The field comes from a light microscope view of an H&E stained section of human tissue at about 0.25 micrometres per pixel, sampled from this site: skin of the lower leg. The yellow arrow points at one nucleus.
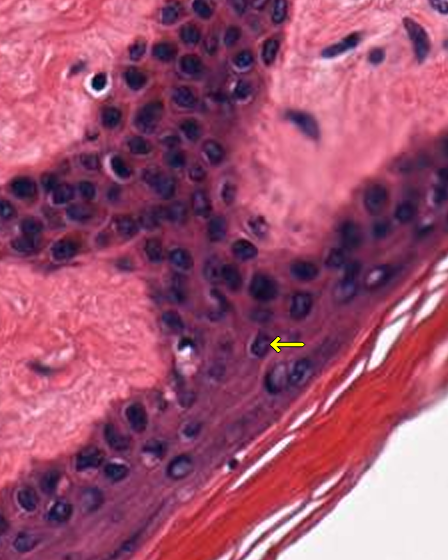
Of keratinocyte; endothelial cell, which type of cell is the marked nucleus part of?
keratinocyte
